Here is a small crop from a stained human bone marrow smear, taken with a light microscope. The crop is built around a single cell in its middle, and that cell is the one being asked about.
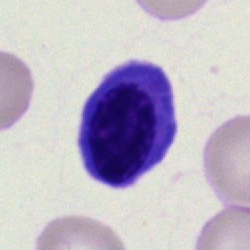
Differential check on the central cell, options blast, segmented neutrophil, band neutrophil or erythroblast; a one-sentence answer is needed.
Regarding the central cell, it is an erythroblast.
